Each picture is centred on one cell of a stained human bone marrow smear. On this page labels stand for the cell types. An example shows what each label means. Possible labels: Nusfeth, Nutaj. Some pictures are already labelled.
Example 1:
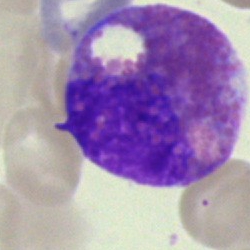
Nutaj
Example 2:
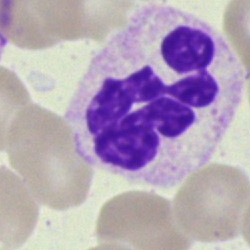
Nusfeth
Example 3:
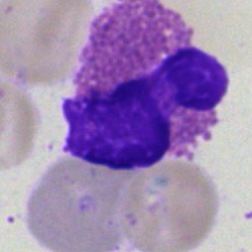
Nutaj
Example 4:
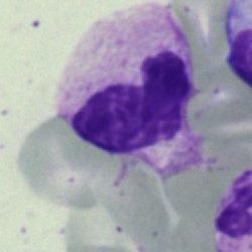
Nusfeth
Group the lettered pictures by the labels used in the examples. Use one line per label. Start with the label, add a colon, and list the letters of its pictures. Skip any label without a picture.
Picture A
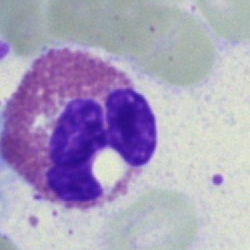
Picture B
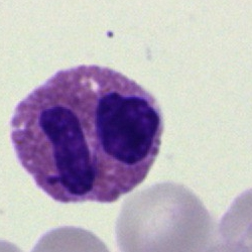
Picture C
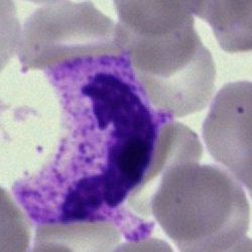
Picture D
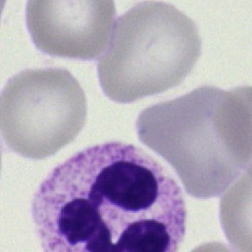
Nusfeth: C, D
Nutaj: A, B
